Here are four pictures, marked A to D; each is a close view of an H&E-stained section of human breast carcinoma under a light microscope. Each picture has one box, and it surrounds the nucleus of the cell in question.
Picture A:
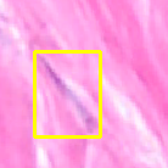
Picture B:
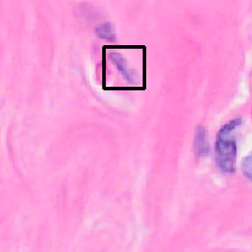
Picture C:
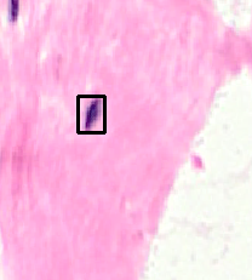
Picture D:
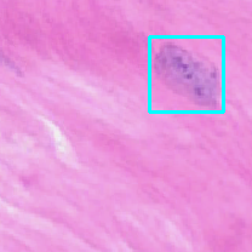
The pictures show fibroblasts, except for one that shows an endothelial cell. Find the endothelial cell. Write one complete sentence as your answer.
Picture B shows the endothelial cell.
